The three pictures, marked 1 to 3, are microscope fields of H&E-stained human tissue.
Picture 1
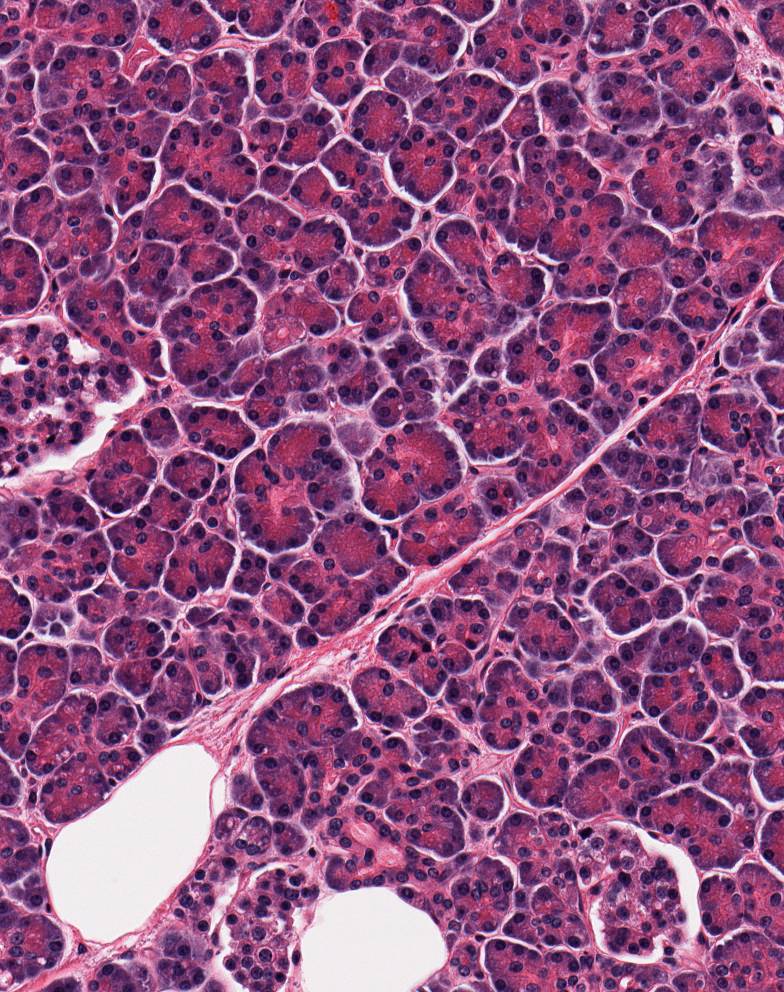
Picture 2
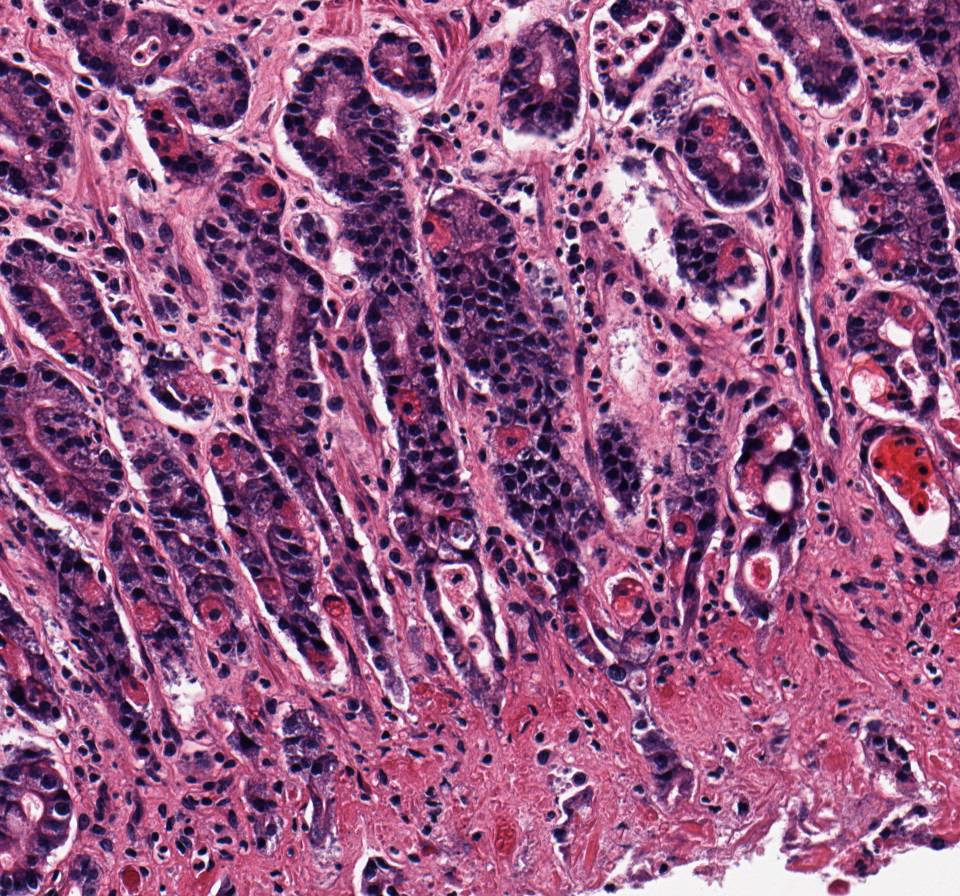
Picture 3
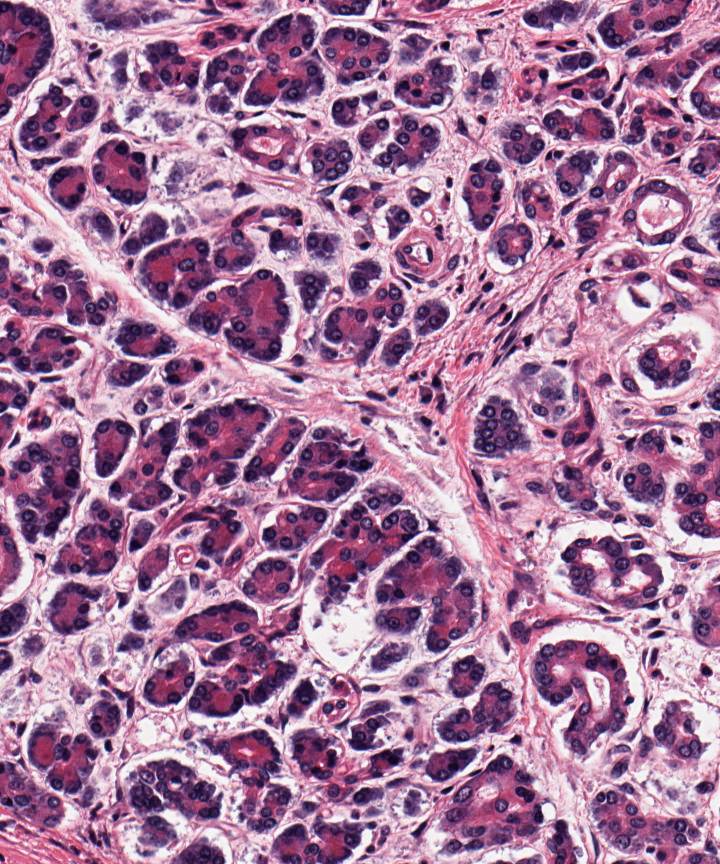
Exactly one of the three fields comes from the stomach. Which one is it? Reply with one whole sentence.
It is picture 2 that comes from the stomach.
